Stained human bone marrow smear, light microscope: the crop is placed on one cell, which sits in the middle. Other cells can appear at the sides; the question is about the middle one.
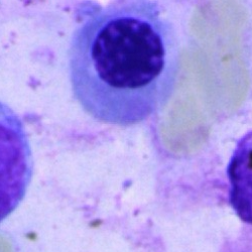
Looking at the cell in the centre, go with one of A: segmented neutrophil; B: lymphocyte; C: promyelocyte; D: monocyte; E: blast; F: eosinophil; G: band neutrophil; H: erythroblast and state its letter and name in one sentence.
The middle of the crop holds an erythroblast, which points to option H.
